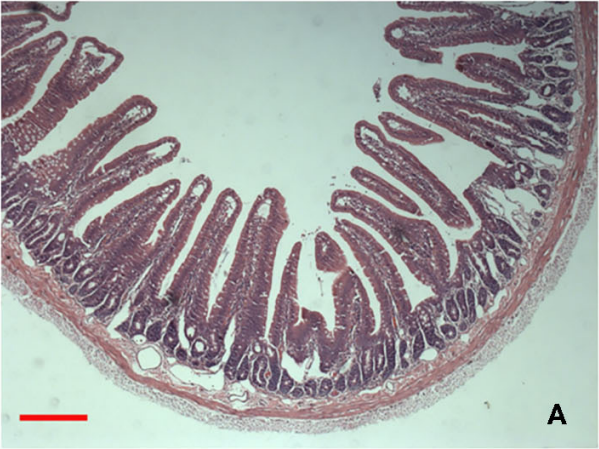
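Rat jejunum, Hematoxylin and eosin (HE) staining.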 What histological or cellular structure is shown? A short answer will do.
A: Intact villi.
